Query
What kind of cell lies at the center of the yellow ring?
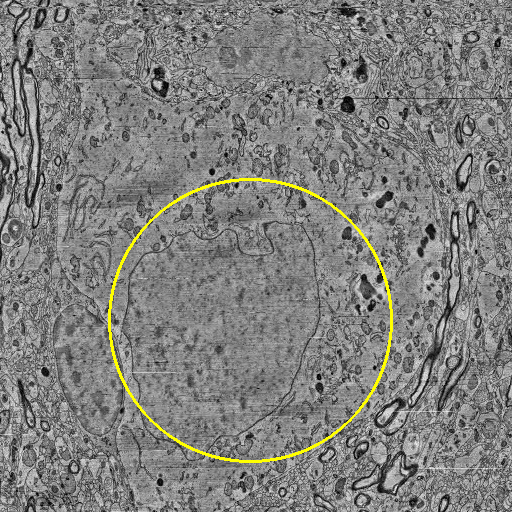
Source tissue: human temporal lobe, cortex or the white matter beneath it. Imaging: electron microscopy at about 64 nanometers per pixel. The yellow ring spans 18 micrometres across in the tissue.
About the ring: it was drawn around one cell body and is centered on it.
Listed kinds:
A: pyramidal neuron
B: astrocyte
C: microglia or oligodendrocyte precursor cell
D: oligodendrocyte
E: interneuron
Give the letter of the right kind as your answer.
A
